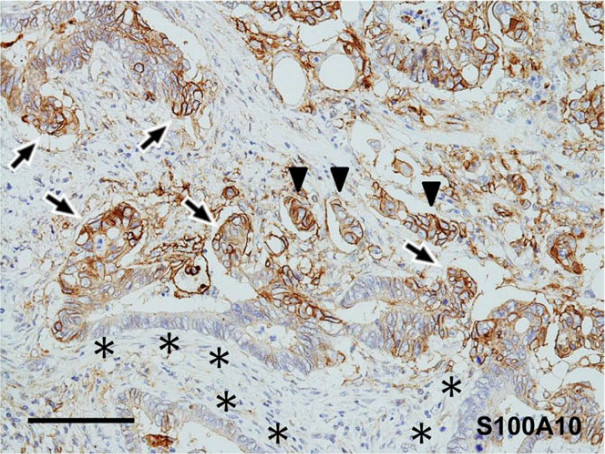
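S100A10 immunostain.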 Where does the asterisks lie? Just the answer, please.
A: smooth border of glandular components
